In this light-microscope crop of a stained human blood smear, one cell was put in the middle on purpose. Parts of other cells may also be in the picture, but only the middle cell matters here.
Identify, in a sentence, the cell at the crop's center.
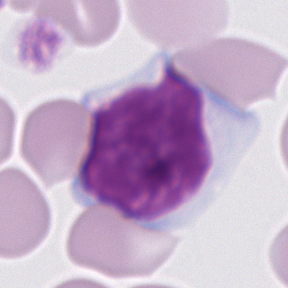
This crop is built around a typical lymphocyte at its centre.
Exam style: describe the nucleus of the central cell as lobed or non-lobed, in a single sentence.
Have a look at the nucleus, which is one compact mass, round, oval or kidney-shaped.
